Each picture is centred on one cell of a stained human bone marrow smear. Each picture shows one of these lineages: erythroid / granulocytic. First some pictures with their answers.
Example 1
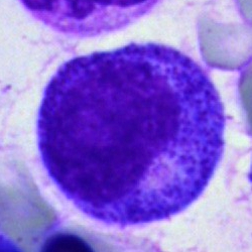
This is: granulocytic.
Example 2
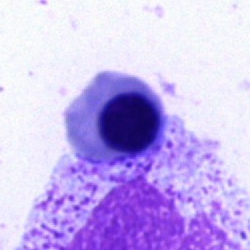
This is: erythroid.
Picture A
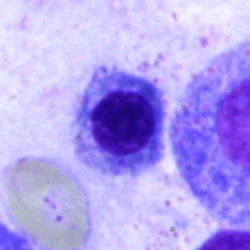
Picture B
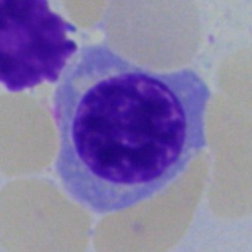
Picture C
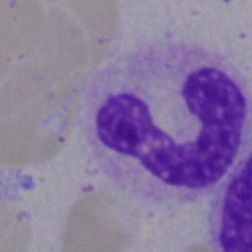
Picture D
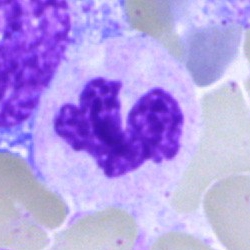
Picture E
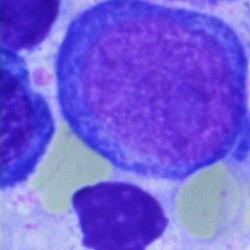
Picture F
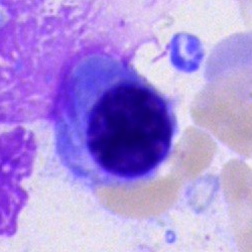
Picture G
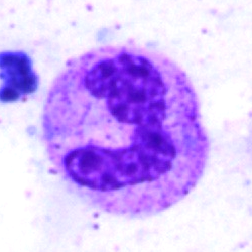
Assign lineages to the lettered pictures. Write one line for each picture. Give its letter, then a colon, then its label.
A: erythroid.
B: erythroid.
C: granulocytic.
D: granulocytic.
E: erythroid.
F: erythroid.
G: granulocytic.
